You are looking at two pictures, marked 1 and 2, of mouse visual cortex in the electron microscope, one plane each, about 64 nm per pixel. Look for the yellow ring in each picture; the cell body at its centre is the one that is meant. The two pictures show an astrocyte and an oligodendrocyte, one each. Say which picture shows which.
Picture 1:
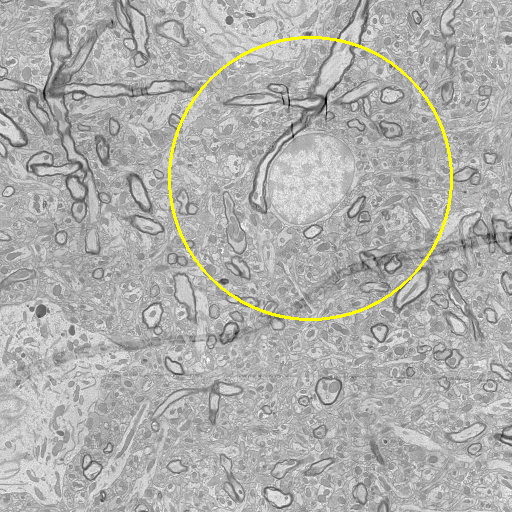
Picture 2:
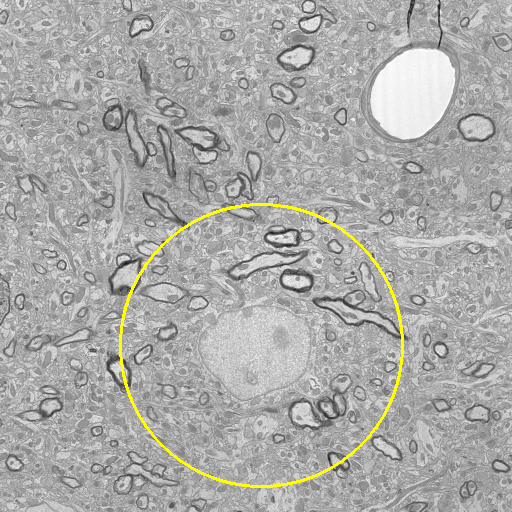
Picture 2 shows an astrocyte, while picture 1 shows an oligodendrocyte.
